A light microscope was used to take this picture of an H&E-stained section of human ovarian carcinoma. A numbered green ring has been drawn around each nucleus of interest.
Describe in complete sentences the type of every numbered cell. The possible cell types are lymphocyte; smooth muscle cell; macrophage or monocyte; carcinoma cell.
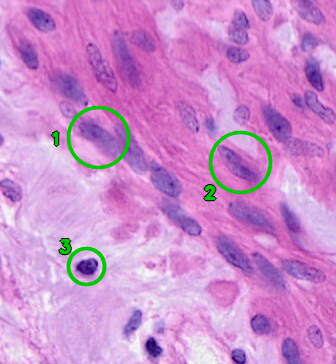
Cells 1 and 2 are smooth muscle cells. Cell 3 is a lymphocyte.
